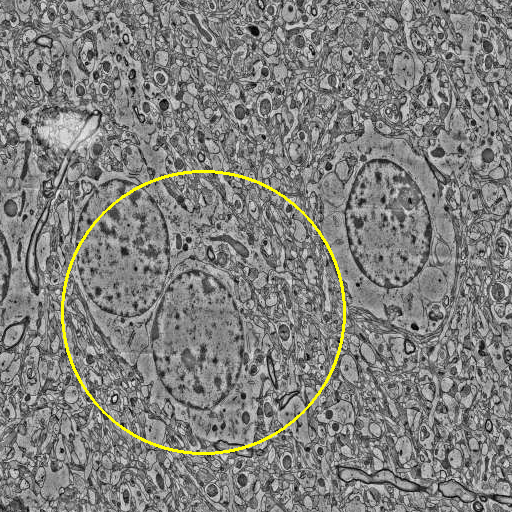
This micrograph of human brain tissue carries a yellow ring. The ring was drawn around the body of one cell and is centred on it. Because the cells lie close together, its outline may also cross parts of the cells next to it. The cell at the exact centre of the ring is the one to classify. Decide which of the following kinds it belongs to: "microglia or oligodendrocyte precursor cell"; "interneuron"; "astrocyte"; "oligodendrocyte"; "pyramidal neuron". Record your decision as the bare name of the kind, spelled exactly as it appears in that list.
astrocyte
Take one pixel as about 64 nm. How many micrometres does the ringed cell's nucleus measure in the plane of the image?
Roughly 9 micrometres by 6 micrometres, in this plane.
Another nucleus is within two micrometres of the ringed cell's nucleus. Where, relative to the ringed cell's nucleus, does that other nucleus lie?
The other nucleus is found to the upper left of it.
